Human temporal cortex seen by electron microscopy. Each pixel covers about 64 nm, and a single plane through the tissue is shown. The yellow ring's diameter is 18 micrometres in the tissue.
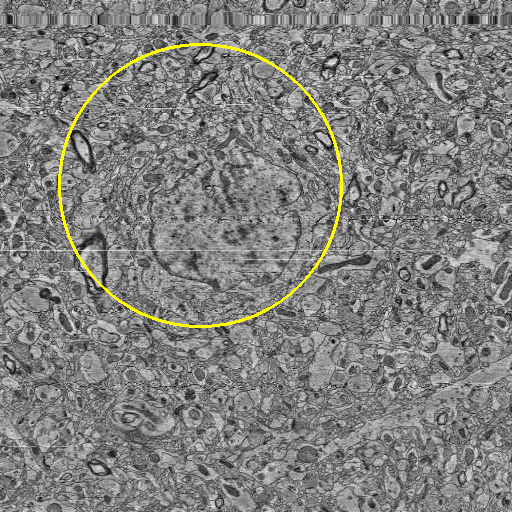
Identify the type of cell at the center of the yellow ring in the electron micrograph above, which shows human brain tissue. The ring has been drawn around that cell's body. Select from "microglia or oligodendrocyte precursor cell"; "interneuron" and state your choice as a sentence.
The yellow ring is centered on the body of an interneuron.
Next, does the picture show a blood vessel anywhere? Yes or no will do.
No, there is none.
